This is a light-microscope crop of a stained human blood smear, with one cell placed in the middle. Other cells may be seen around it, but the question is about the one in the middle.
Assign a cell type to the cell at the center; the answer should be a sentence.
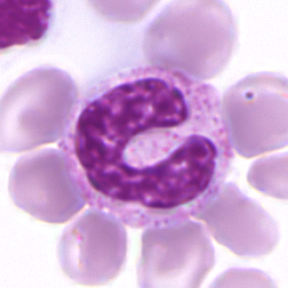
Classified as a band neutrophil is the cell in the middle of this crop.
